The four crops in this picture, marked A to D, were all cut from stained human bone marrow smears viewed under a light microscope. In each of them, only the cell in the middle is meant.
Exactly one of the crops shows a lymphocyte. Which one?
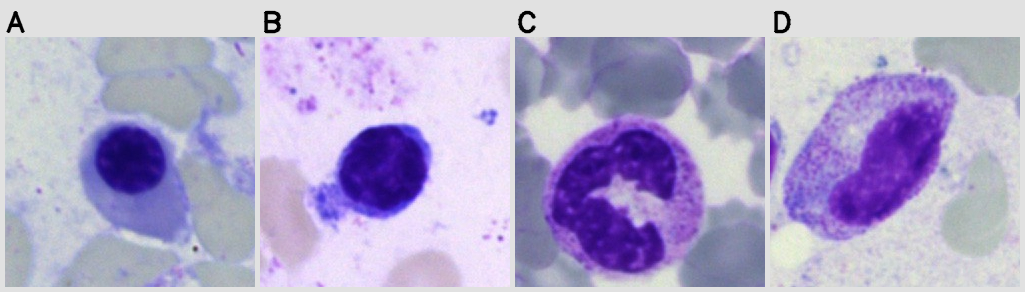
B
